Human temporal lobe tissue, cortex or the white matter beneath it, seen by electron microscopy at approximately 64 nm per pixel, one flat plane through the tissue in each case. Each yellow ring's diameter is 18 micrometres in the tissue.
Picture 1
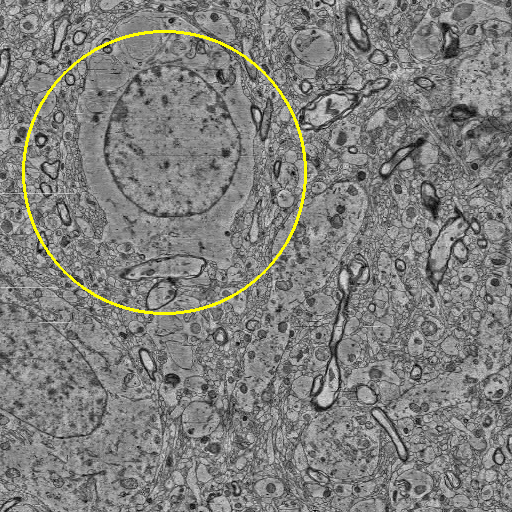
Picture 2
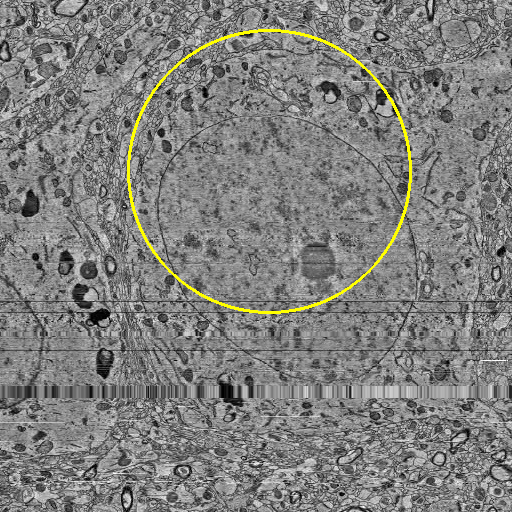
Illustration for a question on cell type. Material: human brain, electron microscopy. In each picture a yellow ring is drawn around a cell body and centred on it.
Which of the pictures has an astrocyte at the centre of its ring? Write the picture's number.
1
